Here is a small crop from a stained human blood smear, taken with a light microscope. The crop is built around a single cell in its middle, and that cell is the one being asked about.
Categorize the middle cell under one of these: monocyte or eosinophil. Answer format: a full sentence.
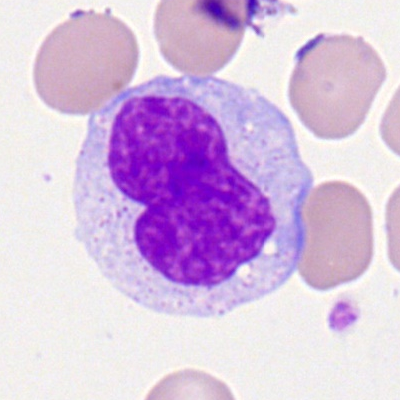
The target cell in the middle of the crop is a monocyte.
